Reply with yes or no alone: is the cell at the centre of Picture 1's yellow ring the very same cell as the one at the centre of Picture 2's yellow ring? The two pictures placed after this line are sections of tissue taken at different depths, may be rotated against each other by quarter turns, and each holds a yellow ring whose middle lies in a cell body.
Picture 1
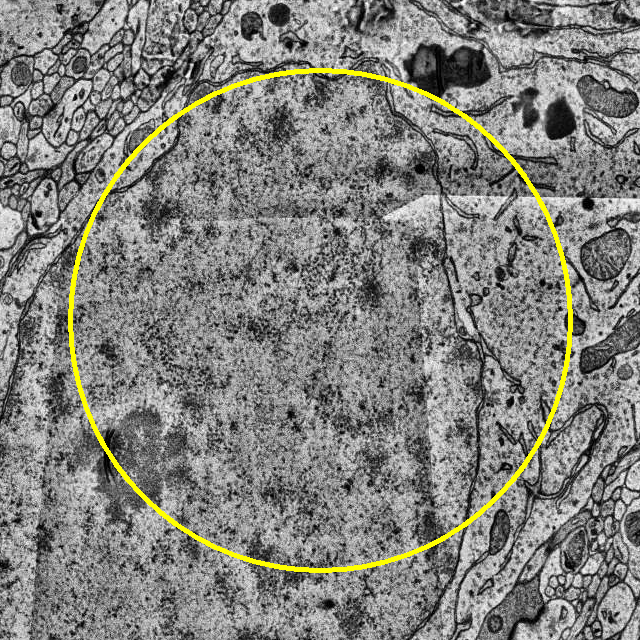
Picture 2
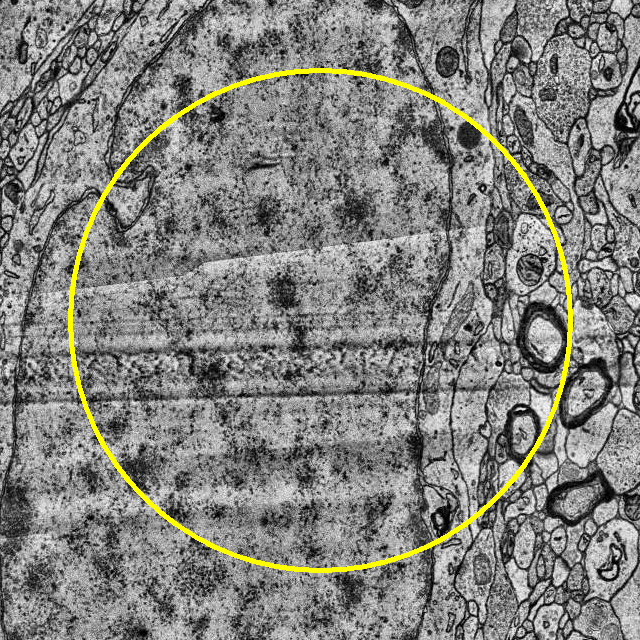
no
